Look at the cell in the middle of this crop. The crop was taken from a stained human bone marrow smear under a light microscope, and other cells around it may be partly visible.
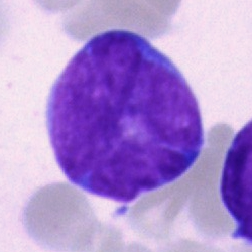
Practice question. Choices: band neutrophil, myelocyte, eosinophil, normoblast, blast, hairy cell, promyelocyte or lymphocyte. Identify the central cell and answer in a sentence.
The cell at the heart of this crop is a blast.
